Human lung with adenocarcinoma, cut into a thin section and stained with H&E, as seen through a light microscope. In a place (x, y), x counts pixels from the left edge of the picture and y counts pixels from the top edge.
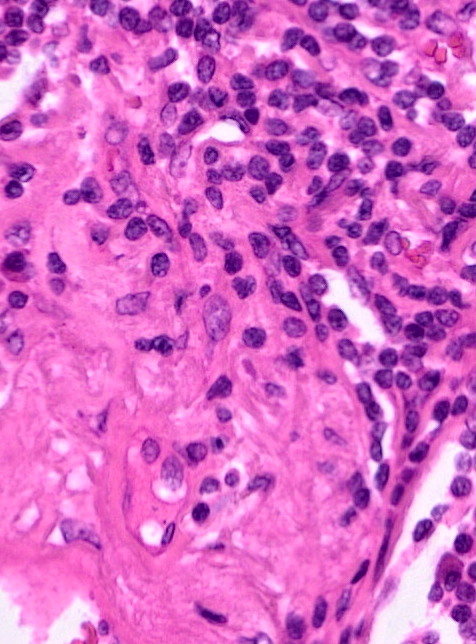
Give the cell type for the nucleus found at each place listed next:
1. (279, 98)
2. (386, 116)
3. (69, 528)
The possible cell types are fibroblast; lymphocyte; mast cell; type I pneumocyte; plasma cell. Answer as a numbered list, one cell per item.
1. lymphocyte
2. lymphocyte
3. fibroblast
